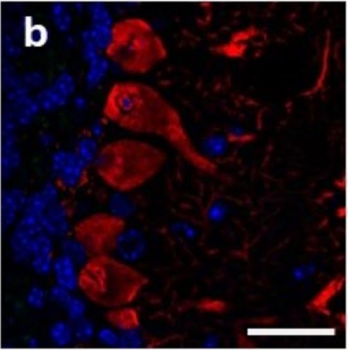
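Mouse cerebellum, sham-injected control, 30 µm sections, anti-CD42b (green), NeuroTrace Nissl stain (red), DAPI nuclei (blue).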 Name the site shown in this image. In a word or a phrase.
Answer: Purkinje layer.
